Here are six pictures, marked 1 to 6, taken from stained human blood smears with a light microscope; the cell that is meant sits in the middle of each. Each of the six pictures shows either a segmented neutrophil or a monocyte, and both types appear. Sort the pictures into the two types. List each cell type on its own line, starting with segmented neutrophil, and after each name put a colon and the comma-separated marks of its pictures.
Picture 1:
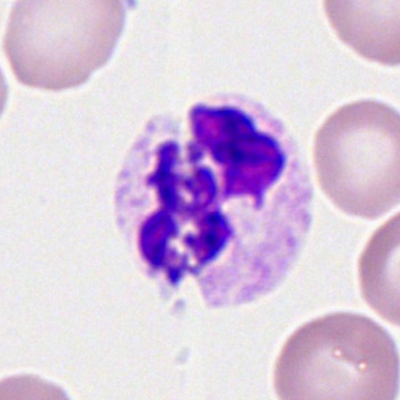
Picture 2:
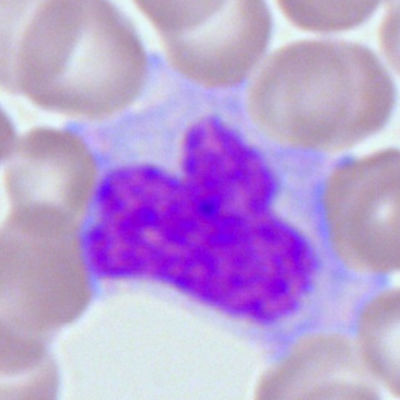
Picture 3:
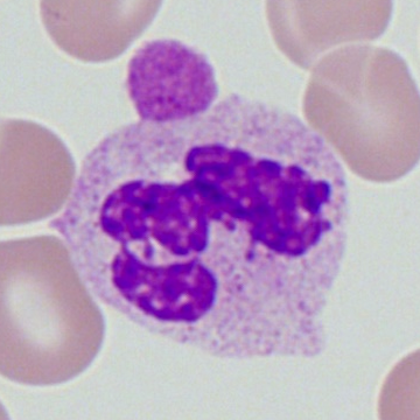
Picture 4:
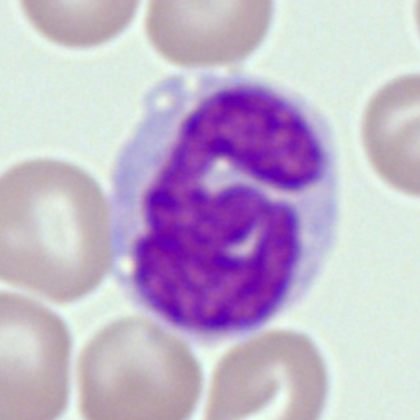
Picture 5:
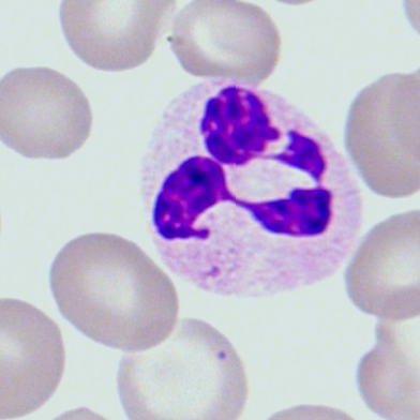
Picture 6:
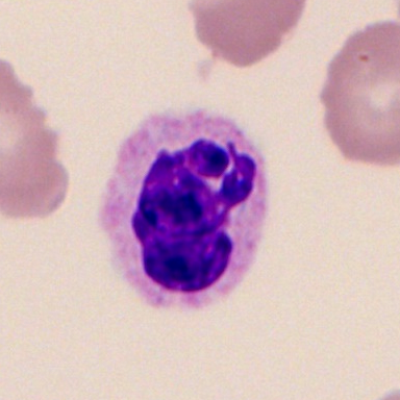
segmented neutrophil: 1, 3, 5, 6
monocyte: 2, 4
